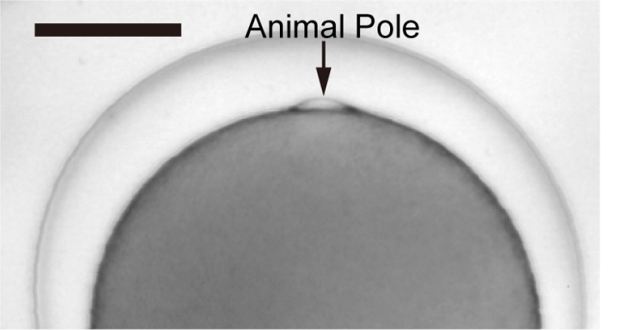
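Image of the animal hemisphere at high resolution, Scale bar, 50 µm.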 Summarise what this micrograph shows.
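The upper half of a single large, round oocyte is seen in transmitted light, its cytoplasm dark grey and evenly granular. A wide, pale, translucent band encircles the cell, separated from its surface by a clear space. At the top of the cell a small, clear, dome-shaped bulge rises from the surface.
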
